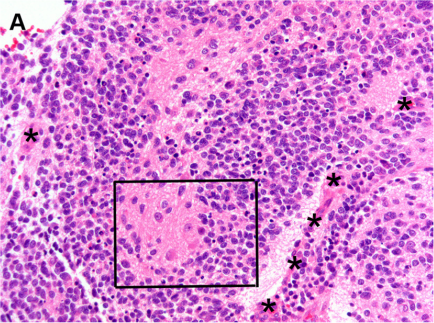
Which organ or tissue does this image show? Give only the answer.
Neuroblastoma.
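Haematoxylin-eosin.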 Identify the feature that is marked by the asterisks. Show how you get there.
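The asterisks lie on thin pink bands running between nests of densely packed tumour cells. So: fibro-vascular stroma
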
